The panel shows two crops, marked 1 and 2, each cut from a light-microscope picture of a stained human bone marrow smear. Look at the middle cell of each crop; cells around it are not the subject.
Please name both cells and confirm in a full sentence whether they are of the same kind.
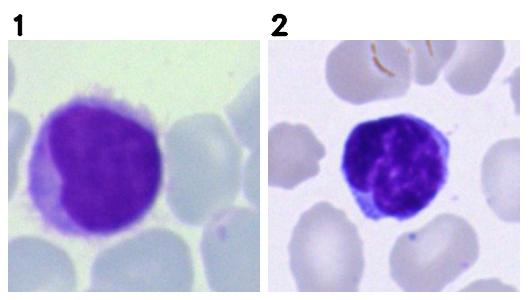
Yes, both crops are centred on lymphocytes.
